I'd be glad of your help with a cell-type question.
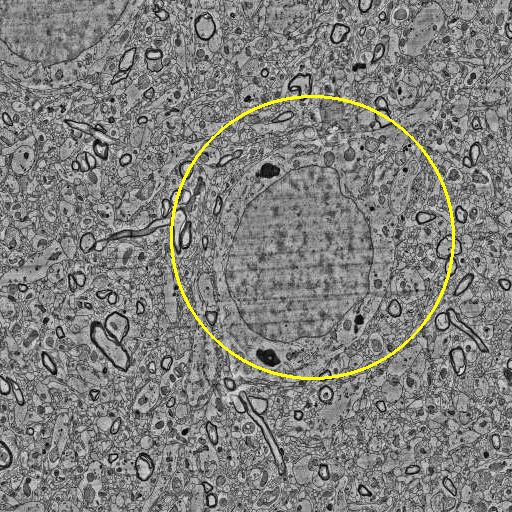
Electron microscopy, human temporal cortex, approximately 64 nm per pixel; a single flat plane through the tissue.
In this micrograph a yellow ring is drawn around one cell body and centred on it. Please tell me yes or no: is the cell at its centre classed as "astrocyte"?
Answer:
no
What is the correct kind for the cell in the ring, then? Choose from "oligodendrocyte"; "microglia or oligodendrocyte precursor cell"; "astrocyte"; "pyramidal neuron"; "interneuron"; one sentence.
As it turns out, the cell at the ring centre is a pyramidal neuron.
